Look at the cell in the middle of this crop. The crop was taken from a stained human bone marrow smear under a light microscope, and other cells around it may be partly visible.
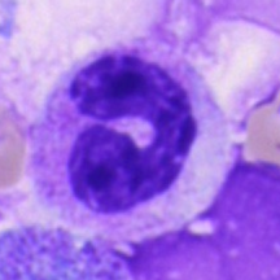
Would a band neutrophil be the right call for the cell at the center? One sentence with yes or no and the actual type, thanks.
Yes, the cell centred in the field of view is a band neutrophil.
